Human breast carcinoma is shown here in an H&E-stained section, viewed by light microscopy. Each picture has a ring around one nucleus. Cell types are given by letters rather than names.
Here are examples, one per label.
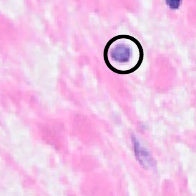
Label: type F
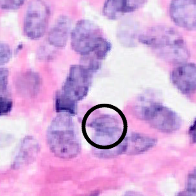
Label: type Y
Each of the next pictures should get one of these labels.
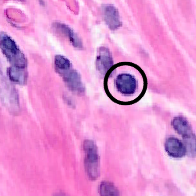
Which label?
type F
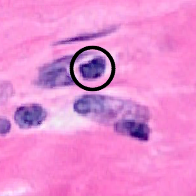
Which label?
type F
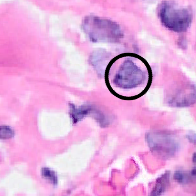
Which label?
type Y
